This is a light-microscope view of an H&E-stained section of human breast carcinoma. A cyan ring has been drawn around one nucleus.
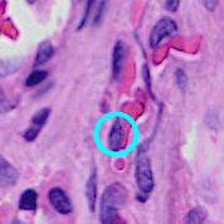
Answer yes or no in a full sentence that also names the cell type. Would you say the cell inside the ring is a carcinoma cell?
No, the cell inside the ring is not a carcinoma cell; an endothelial cell is what it is.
